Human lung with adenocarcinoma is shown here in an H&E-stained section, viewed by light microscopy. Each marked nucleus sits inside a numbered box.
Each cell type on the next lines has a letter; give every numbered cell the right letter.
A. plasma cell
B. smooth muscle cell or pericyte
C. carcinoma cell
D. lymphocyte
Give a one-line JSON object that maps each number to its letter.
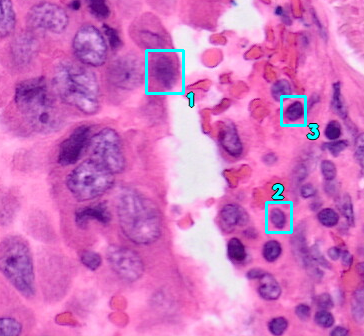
{"1": "C", "2": "D", "3": "D"}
